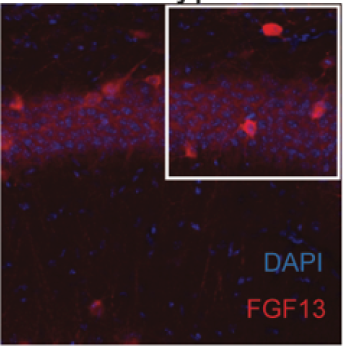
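In hippocampal tissue a thick band of tightly packed blue nuclei runs across the field as the principal cell layer, with looser nuclei scattered above and below. A handful of bright red cell bodies, some with fine processes, lie within and at the edges of this band and in the neighbouring layers.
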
